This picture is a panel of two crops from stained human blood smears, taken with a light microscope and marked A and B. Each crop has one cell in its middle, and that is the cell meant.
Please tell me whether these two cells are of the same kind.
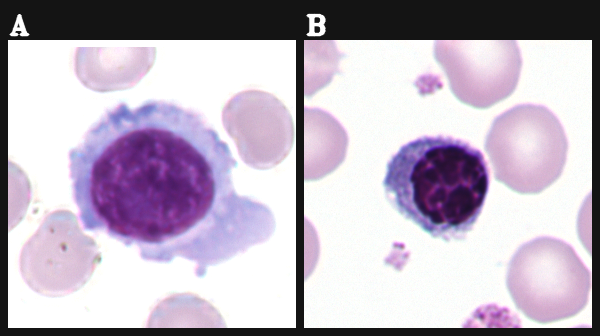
no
